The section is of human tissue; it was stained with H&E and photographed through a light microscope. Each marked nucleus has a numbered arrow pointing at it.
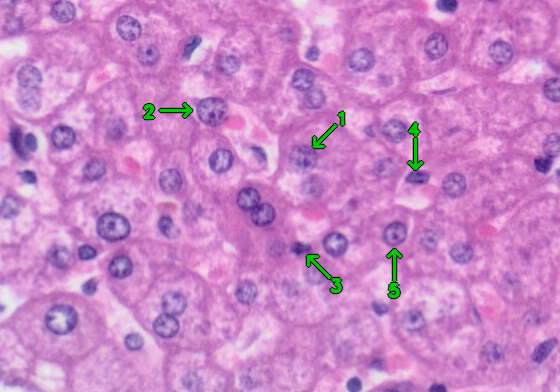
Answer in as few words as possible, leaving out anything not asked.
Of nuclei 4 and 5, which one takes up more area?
5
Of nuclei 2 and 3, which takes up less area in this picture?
3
